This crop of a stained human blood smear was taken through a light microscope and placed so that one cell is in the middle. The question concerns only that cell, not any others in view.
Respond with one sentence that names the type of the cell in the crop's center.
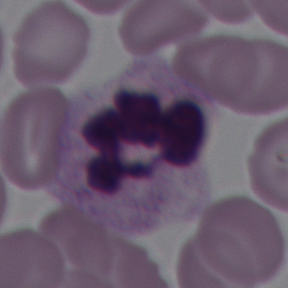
Where the crop is centred, there is a segmented neutrophil.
